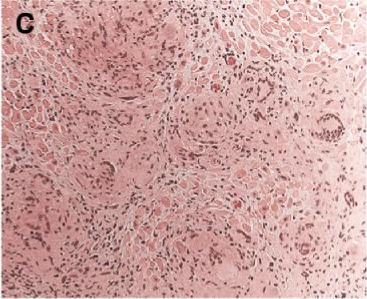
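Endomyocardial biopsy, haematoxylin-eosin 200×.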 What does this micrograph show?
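Heart muscle is largely replaced by granulomatous inflammation made of nodular clusters of pale pink cells with oval to elongated nuclei. The clusters have no necrotic centre, and scattered multinucleated giant cells lie among them. Small dark round nuclei of lymphocytes are scattered between the nodules. Remnant pink cardiac muscle fibres, cut across, remain at the edges and between the clusters.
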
